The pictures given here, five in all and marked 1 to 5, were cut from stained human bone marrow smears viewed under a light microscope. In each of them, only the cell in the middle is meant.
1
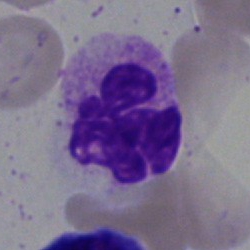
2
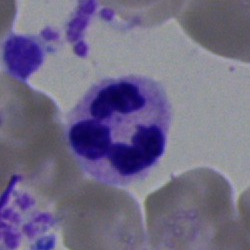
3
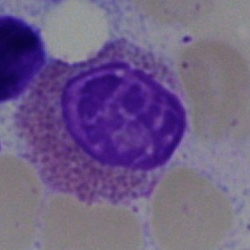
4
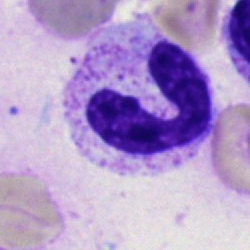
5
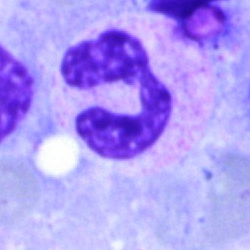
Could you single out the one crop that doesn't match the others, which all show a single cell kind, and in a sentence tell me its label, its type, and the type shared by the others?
Crop 3 is an eosinophil, unlike the other crops, which all show segmented neutrophils.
